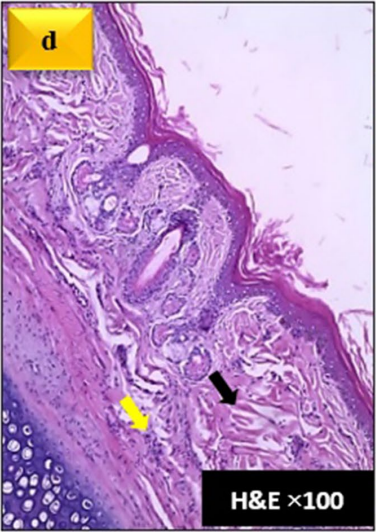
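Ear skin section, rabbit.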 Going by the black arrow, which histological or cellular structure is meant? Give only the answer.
collagen deposits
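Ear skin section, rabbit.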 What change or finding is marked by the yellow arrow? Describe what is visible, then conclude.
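The arrow points at a band of scattered small dark nuclei in the deep dermis near the cartilage.
Conclusion: mild dermal inflammatory infiltrate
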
